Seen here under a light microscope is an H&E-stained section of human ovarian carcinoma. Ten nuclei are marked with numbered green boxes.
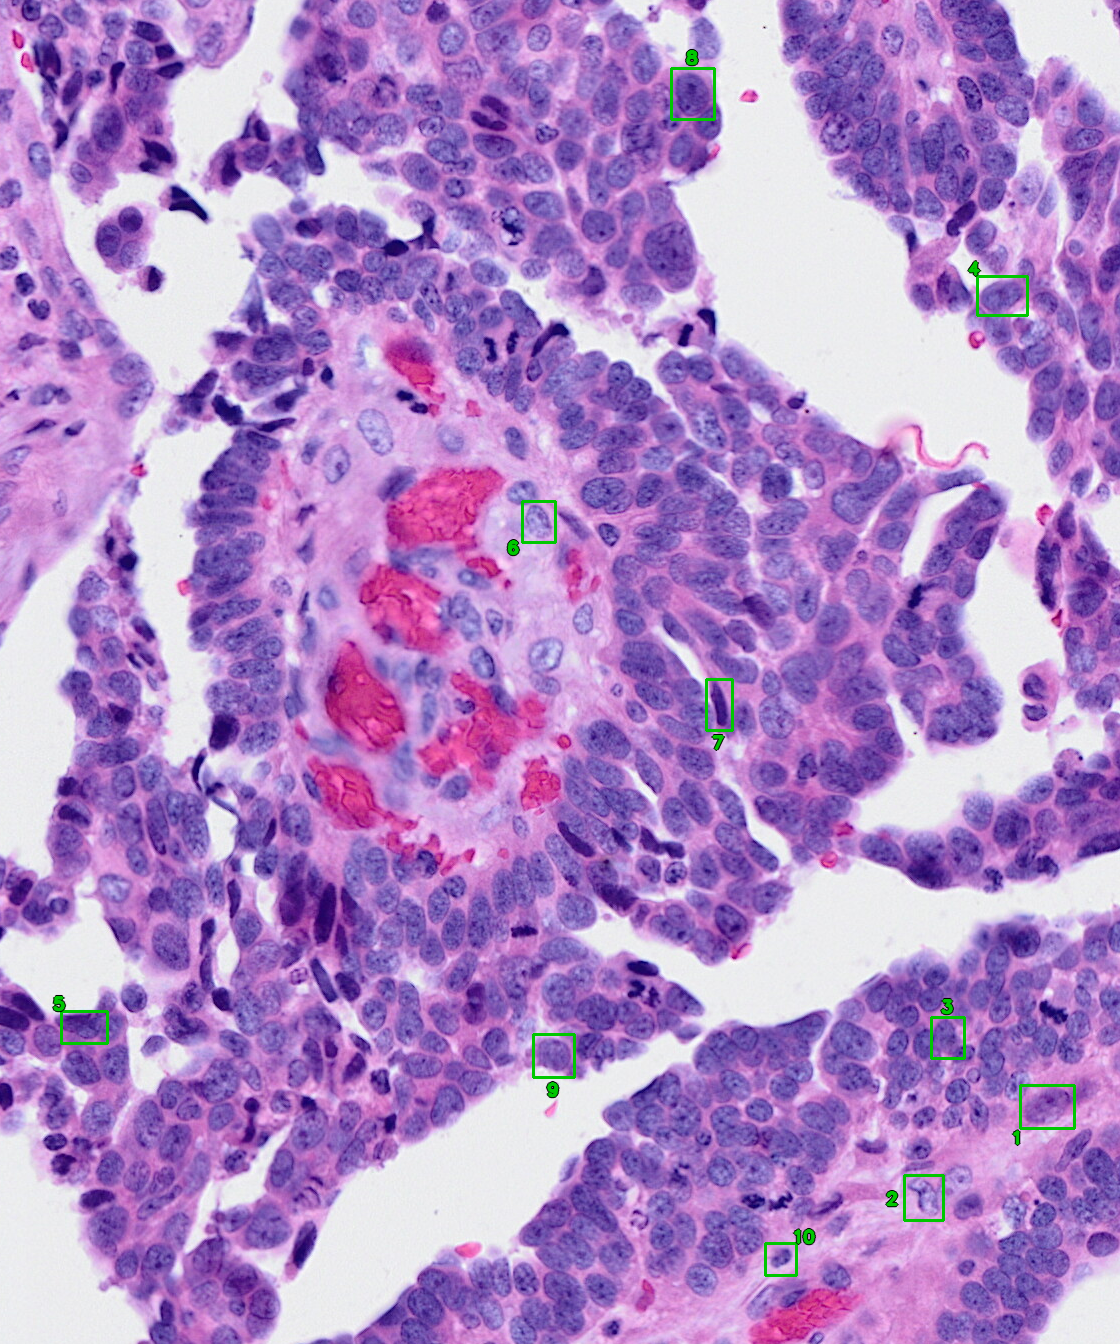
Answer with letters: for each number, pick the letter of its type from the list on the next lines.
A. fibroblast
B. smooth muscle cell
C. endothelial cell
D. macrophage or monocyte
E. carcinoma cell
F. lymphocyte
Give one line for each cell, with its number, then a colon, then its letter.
1: A
2: A
3: E
4: E
5: E
6: A
7: E
8: E
9: E
10: F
